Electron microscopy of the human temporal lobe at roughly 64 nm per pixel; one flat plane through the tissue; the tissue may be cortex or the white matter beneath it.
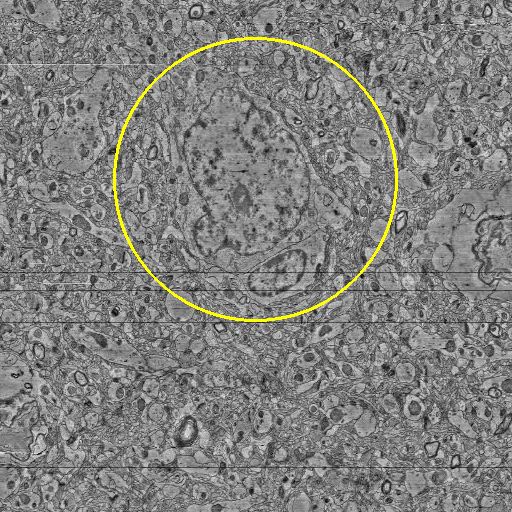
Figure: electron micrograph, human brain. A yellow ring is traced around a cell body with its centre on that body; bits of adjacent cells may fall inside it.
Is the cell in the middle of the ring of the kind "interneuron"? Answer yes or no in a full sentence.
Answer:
Yes, that kind applies to the cell centred within the yellow ring of the picture.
